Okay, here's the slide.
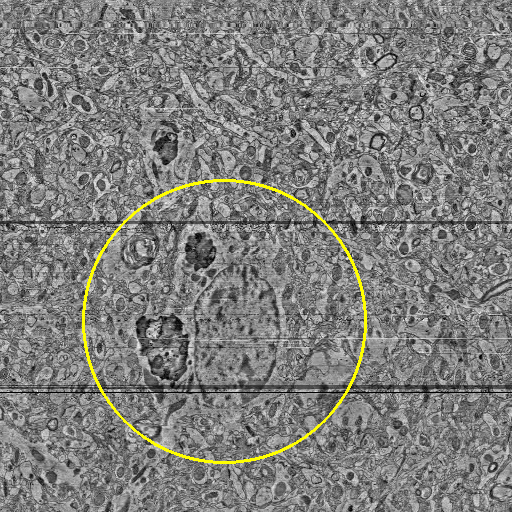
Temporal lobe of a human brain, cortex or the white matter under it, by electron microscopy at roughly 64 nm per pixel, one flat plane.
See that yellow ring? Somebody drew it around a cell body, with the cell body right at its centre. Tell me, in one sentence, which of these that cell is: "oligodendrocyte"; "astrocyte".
The cell in the middle of the ring is an astrocyte.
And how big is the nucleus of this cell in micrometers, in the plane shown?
The nucleus works out at approximately 9 by 6 micrometres in this plane.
